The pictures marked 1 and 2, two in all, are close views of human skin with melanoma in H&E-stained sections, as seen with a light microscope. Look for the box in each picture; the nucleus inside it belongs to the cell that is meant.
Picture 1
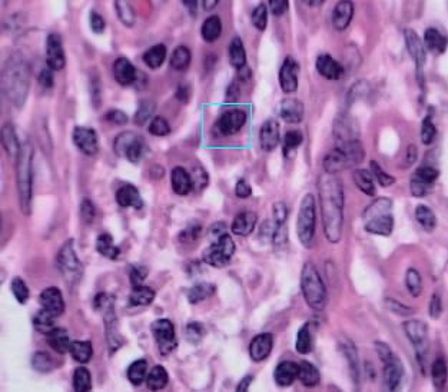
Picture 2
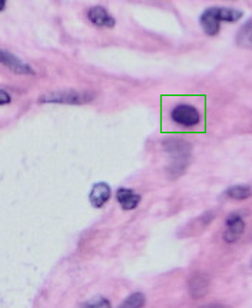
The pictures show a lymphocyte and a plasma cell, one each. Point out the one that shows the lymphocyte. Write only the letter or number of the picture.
2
